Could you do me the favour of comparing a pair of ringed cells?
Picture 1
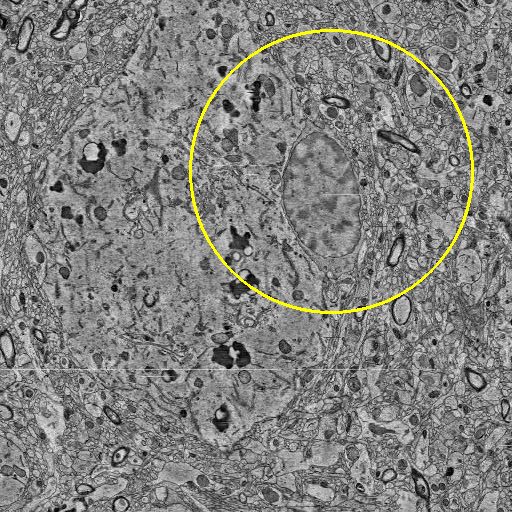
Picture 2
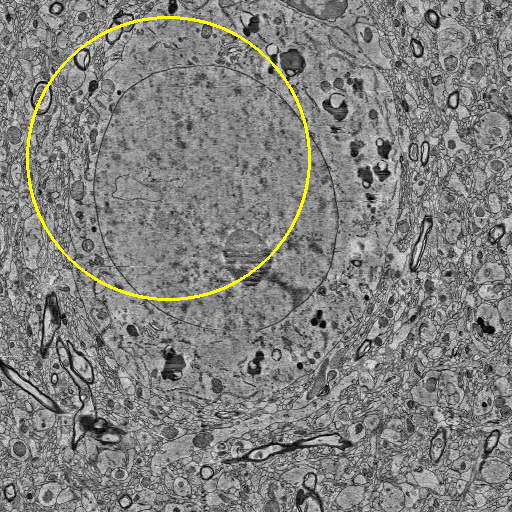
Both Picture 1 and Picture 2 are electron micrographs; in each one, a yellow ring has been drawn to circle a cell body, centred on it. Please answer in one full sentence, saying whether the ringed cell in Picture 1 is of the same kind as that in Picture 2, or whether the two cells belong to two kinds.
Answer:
The ringed cells in Picture 1 and Picture 2 belong to two kinds.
